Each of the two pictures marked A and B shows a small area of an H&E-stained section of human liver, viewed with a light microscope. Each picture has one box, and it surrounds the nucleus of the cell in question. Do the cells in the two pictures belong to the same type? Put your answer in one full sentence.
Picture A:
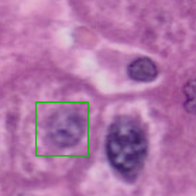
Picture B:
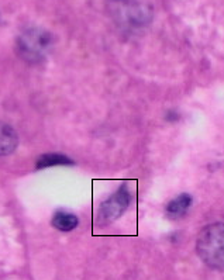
No, the types are not the same, since picture A shows a hepatocyte and picture B a Kupffer cell.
